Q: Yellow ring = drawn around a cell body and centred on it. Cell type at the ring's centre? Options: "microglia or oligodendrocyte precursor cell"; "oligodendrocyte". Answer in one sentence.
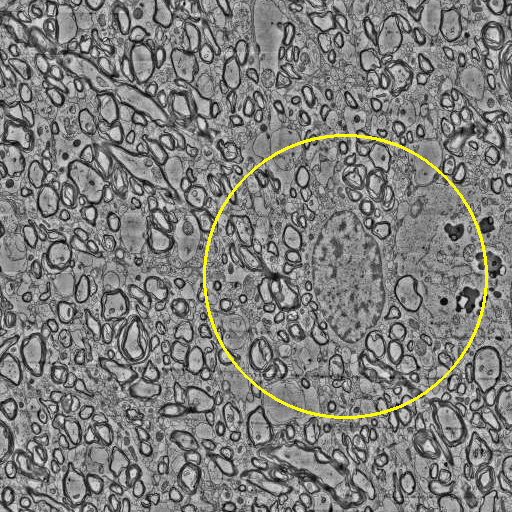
Centred in the ring is an oligodendrocyte.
